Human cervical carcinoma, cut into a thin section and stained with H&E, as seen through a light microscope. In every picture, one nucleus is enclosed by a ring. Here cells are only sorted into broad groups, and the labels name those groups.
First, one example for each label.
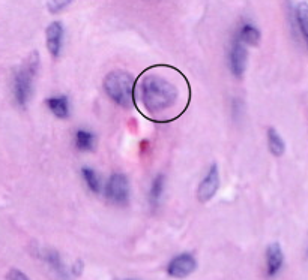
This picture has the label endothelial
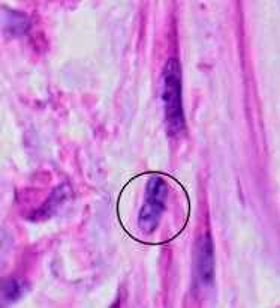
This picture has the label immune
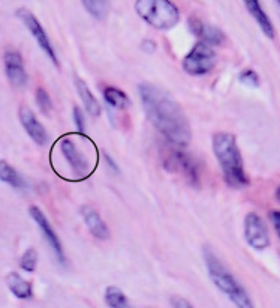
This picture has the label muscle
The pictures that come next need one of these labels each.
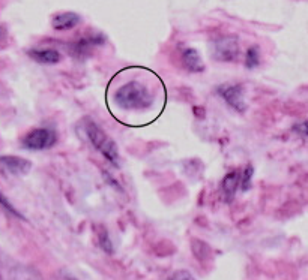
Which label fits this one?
immune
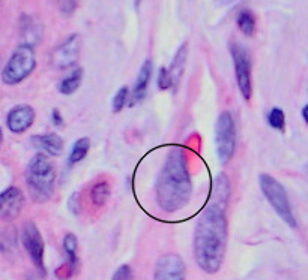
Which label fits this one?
endothelial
